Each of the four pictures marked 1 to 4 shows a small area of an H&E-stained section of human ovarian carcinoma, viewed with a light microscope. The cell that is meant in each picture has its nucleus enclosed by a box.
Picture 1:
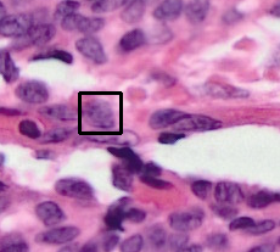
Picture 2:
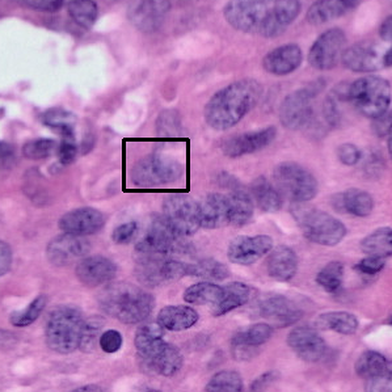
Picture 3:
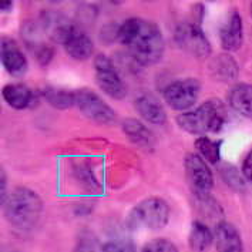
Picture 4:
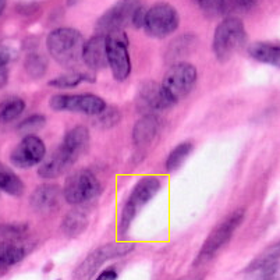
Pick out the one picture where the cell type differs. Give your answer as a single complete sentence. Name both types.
Picture 4 differs, because its cell is a fibroblast and the rest are endothelial cells.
